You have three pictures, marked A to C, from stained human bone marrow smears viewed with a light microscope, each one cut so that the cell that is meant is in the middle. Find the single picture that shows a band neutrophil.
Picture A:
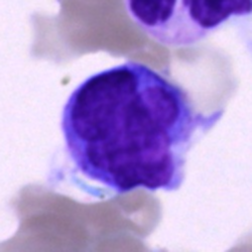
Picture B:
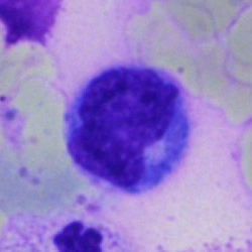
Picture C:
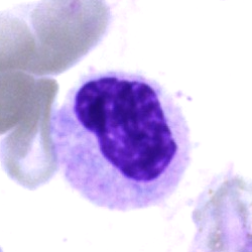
C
